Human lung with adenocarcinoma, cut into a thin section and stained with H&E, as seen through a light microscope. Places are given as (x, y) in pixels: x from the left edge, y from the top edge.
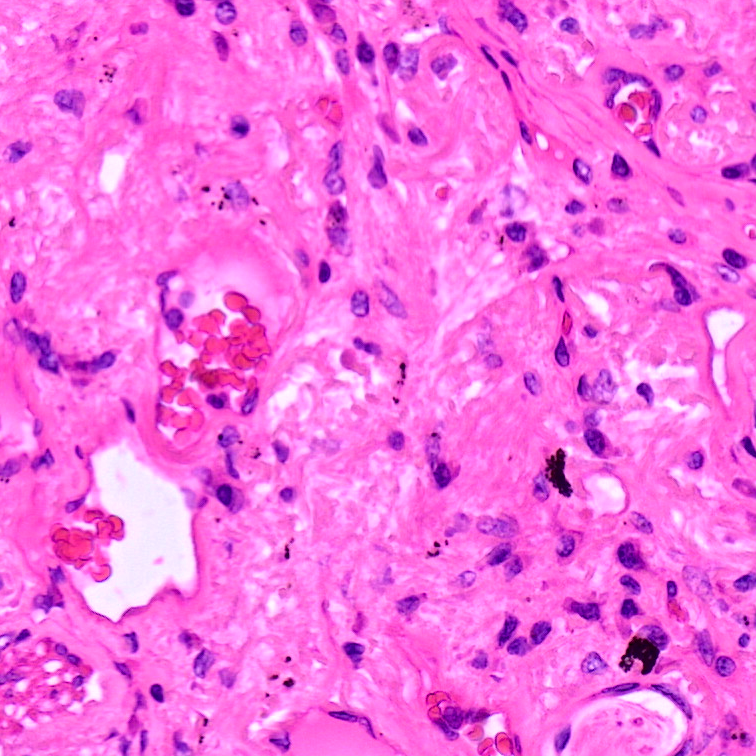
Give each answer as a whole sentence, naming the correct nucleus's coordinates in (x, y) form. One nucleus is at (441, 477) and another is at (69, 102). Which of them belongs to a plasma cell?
The member of the pair belonging to a plasma cell is the nucleus at (441, 477).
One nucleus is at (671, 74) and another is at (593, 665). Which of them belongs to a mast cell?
Of these two nuclei, only the one at (671, 74) belongs to a mast cell.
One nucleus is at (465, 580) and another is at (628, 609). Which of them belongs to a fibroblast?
The member of the pair belonging to a fibroblast is the nucleus at (465, 580).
